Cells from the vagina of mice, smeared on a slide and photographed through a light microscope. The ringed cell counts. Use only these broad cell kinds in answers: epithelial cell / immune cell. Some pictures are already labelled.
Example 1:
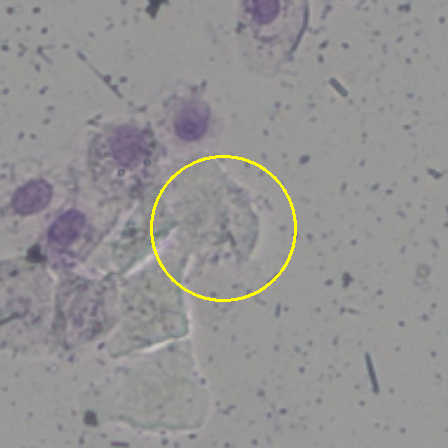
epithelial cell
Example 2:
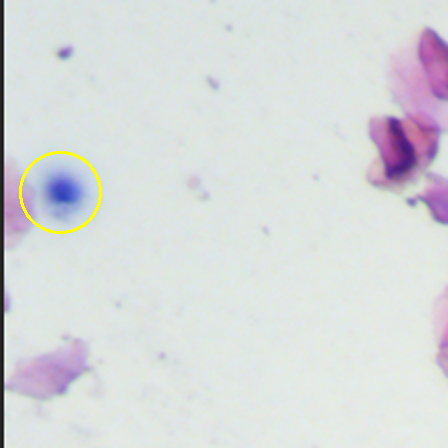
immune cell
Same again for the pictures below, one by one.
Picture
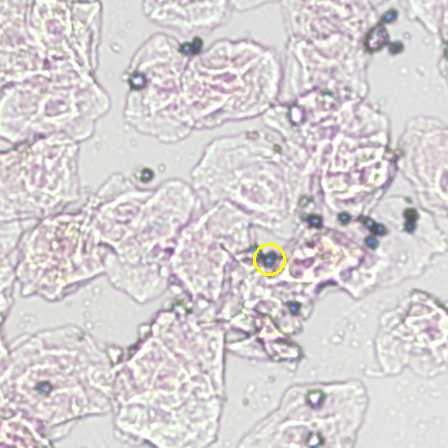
immune cell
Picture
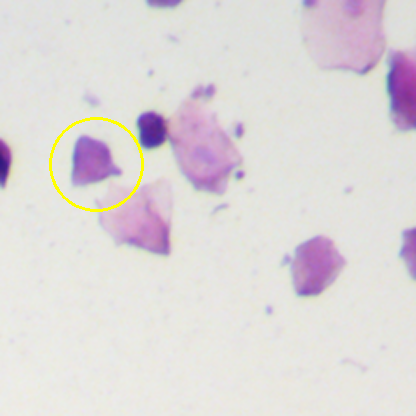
epithelial cell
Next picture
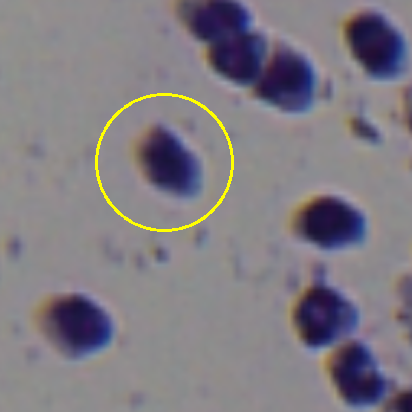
immune cell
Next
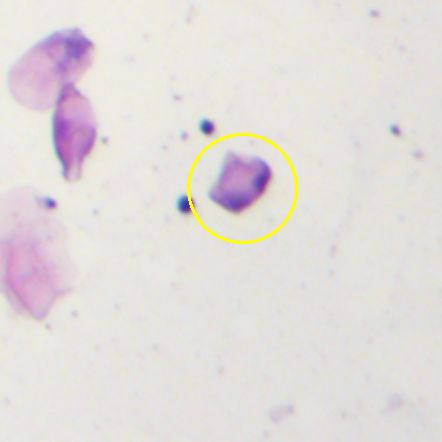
epithelial cell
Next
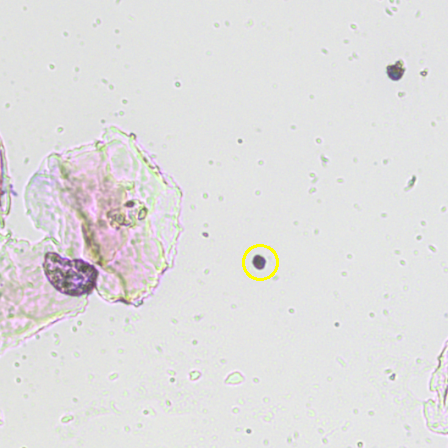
immune cell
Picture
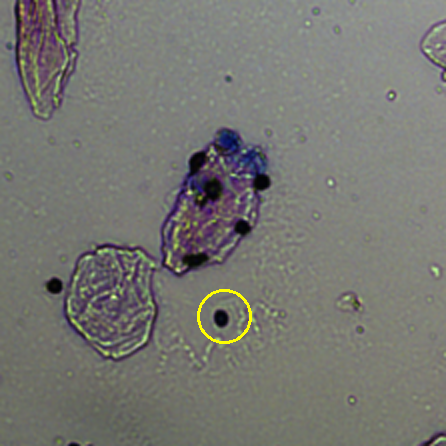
immune cell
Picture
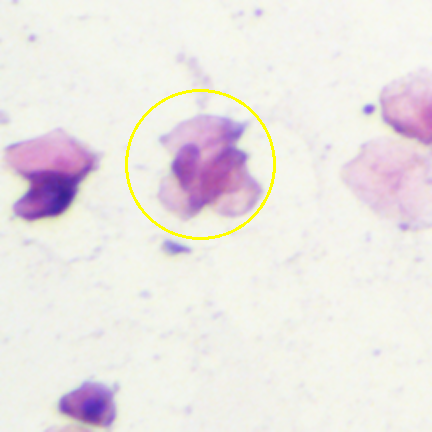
epithelial cell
